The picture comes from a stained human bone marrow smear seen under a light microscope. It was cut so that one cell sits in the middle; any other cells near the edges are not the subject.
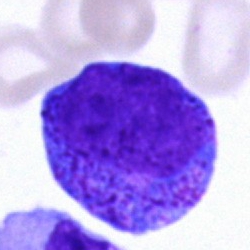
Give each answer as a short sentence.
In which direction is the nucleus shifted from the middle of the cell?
The nucleus is pushed toward the top of the cell.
